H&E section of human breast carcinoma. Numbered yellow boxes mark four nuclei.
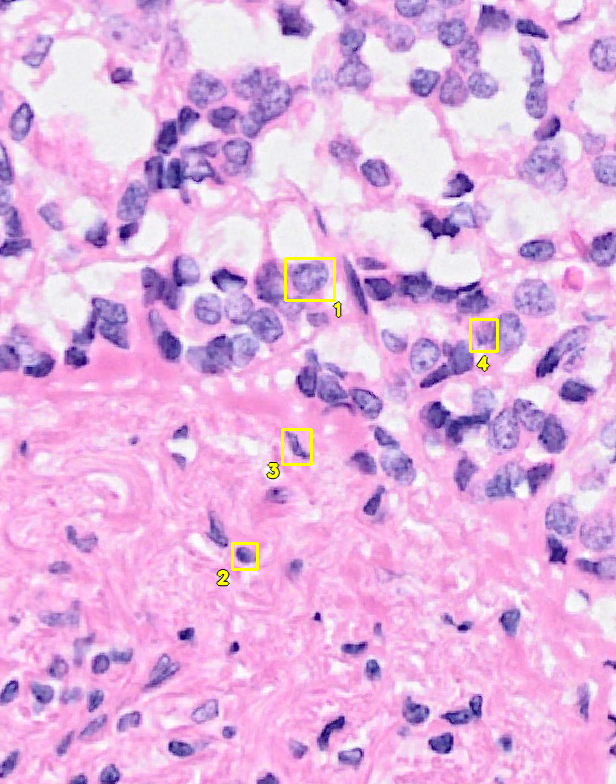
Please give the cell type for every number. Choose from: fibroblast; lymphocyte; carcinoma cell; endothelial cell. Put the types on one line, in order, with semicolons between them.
carcinoma cell; lymphocyte; fibroblast; carcinoma cell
